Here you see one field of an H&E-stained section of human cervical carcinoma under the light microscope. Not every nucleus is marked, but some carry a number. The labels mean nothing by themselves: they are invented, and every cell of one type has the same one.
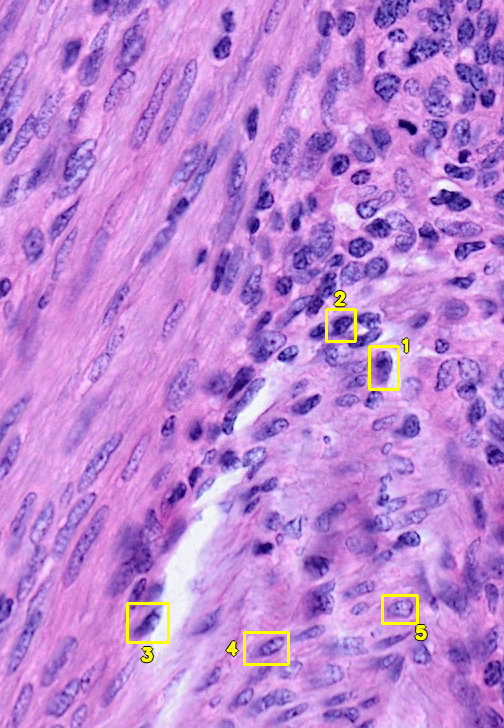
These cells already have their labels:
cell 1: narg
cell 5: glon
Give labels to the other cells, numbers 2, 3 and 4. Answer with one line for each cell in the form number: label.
2: narg
3: narg
4: glon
